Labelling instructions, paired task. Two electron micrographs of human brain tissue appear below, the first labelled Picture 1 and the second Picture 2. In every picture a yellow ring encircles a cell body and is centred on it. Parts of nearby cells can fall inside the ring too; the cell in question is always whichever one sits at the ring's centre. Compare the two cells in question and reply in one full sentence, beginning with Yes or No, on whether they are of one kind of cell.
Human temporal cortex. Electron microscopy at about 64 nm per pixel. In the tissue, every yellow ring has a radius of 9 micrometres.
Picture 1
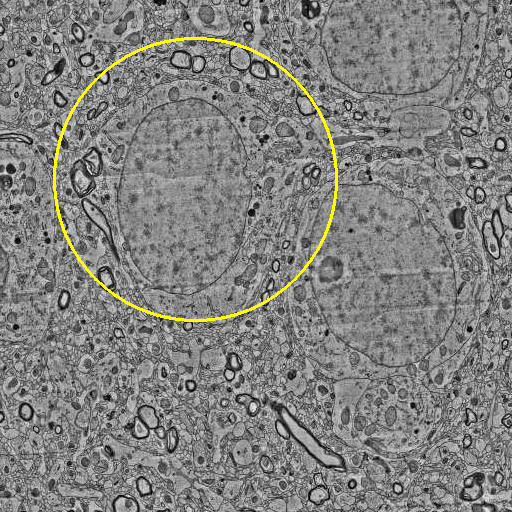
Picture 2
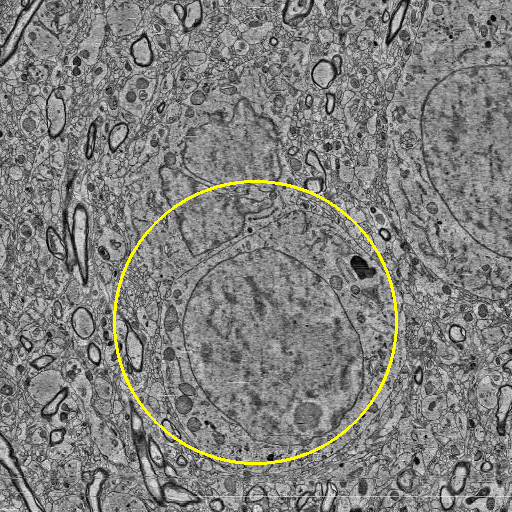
Yes, the two cells at the ring centres in Picture 1 and Picture 2 are of one kind.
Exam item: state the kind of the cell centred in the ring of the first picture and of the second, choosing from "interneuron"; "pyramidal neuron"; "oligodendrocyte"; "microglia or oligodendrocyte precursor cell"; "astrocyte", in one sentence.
Each cell, in the first picture and the second, is a pyramidal neuron.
